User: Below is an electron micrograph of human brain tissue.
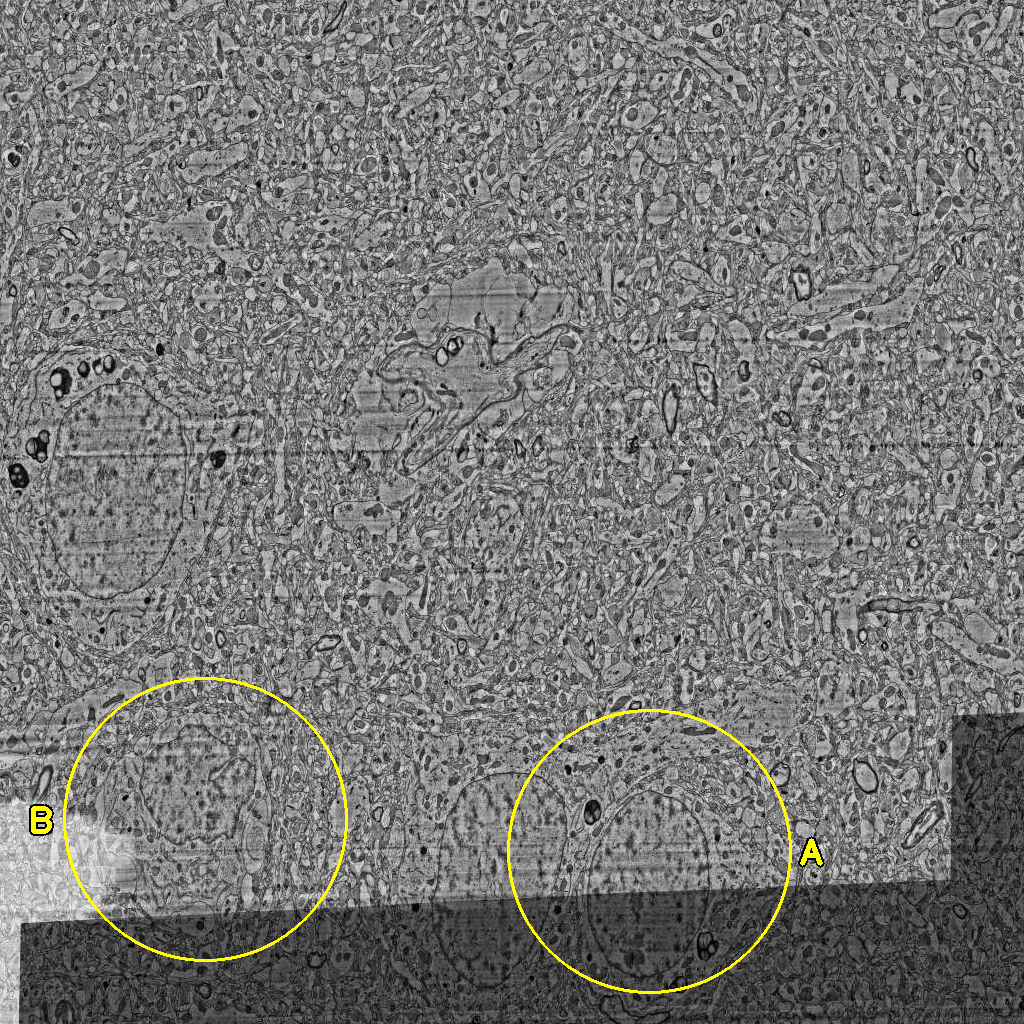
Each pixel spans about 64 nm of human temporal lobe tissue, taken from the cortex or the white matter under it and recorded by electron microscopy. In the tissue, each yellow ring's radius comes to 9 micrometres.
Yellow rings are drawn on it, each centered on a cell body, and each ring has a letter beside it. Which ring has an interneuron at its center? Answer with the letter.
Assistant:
B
